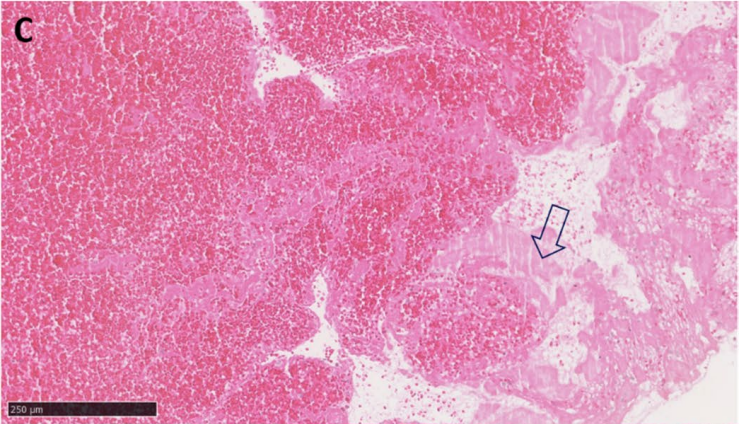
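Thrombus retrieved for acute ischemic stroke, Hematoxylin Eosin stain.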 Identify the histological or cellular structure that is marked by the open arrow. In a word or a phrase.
Zahn-lines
